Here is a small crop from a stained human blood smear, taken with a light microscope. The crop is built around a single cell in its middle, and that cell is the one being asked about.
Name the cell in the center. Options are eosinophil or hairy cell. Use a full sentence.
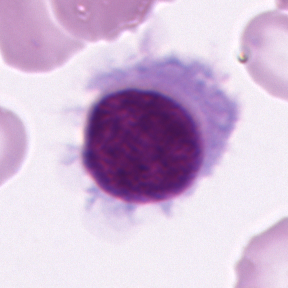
For this crop, the cell in the middle is a hairy cell.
